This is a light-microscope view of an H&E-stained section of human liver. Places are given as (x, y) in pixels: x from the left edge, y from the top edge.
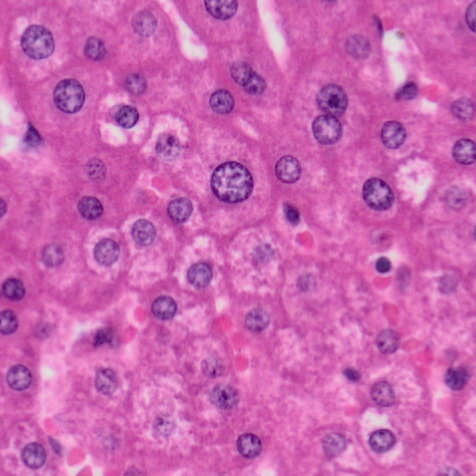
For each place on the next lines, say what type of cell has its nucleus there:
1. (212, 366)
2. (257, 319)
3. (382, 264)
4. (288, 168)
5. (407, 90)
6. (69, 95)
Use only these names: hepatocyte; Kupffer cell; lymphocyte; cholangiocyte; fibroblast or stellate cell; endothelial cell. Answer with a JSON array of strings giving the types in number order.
["hepatocyte", "hepatocyte", "lymphocyte", "hepatocyte", "Kupffer cell", "hepatocyte"]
